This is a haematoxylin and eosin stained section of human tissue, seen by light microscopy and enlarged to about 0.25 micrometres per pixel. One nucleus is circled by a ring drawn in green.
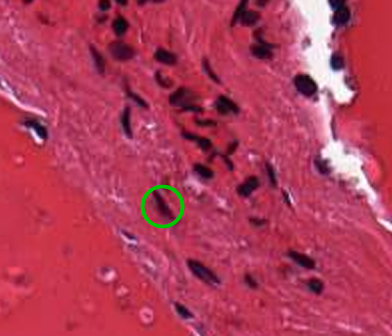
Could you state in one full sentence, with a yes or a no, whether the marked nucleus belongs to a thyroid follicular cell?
No, rather than a thyroid follicular cell, it is a supporting cell that contains the marked nucleus.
